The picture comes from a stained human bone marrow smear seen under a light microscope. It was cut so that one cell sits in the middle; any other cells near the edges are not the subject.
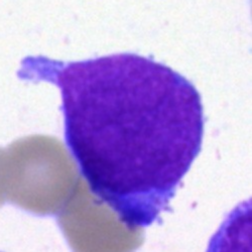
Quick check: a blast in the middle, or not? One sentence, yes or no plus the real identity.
Yes, that middle cell in the crop is a blast.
